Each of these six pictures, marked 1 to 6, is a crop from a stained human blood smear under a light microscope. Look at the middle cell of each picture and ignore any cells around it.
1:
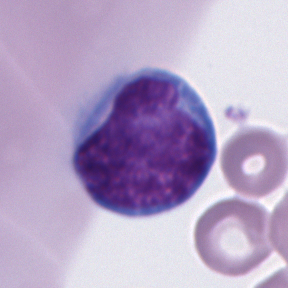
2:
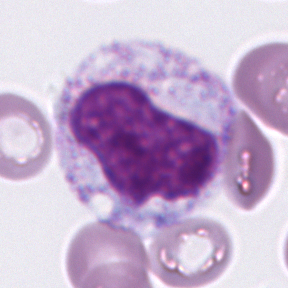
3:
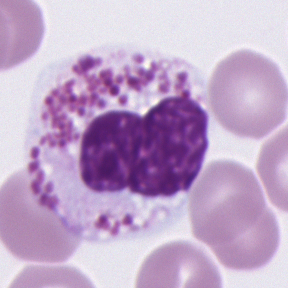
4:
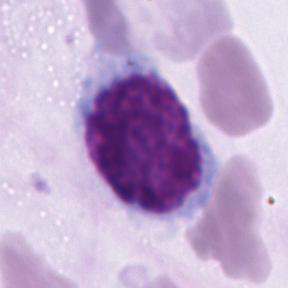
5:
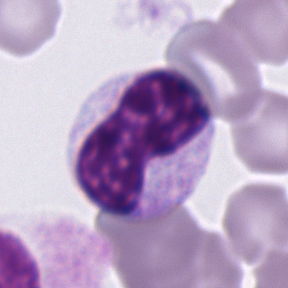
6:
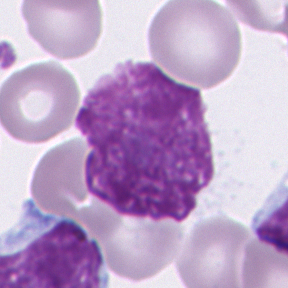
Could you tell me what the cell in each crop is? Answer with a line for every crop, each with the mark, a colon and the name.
1: myeloblast
2: metamyelocyte
3: eosinophil
4: hairy cell
5: band neutrophil
6: smudge cell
